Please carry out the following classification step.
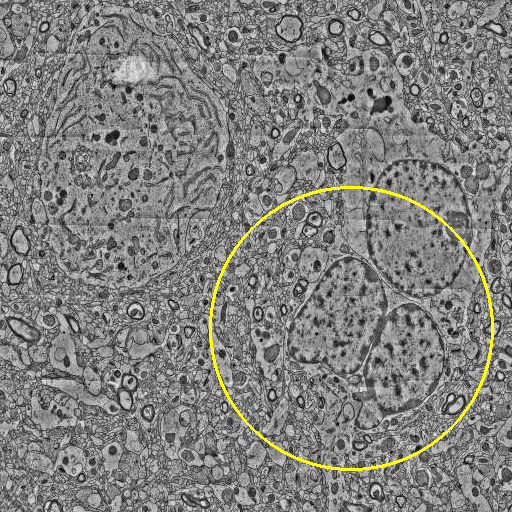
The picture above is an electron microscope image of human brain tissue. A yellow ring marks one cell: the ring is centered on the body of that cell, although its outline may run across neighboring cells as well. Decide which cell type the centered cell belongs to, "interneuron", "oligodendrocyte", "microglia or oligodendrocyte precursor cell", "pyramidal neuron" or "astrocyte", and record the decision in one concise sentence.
The cell centered in the yellow ring is a microglial cell or oligodendrocyte precursor cell.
